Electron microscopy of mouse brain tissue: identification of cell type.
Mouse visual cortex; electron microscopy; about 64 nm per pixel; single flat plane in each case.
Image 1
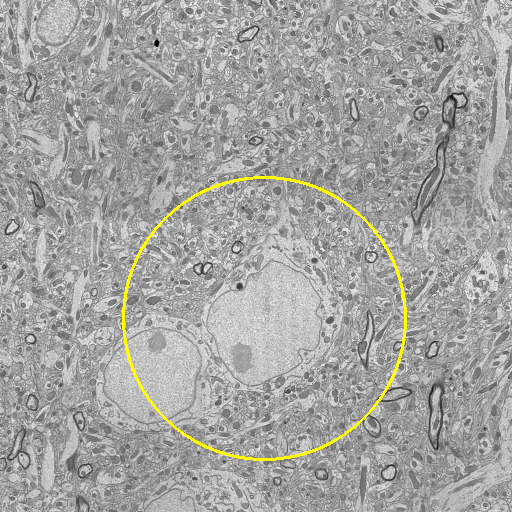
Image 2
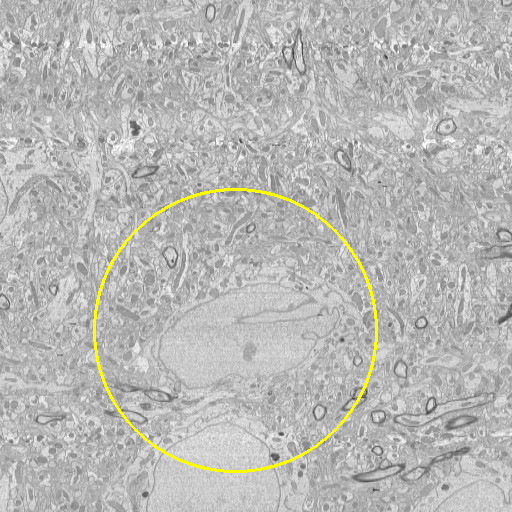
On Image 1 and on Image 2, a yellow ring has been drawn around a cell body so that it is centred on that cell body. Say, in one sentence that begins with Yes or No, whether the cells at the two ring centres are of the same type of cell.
No, the two cells are two separate types of cell.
